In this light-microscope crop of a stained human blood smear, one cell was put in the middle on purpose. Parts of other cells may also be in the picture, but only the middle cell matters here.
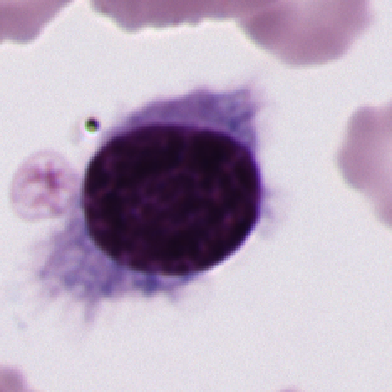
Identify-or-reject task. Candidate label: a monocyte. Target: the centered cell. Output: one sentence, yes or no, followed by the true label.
No, the central cell does not represent a monocyte, but a hairy cell.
